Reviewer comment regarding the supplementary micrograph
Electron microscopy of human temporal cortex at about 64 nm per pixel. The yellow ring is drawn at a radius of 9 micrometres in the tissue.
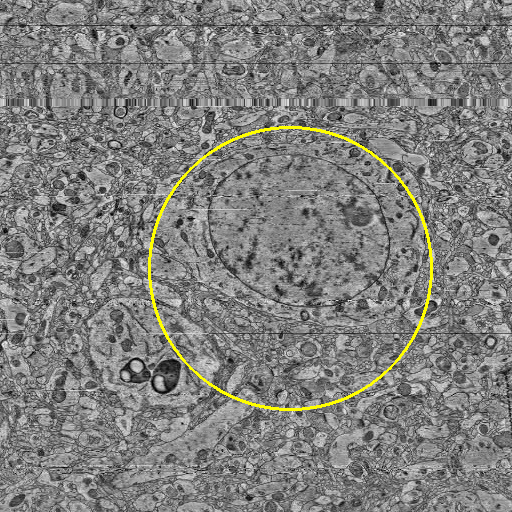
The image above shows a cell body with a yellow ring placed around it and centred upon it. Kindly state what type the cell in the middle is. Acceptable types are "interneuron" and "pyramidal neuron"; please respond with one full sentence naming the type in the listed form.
In the image above, the cell on which the yellow ring is centred is a pyramidal neuron.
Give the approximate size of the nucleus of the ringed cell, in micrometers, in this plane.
About 12 by 10 micrometers, in this plane.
